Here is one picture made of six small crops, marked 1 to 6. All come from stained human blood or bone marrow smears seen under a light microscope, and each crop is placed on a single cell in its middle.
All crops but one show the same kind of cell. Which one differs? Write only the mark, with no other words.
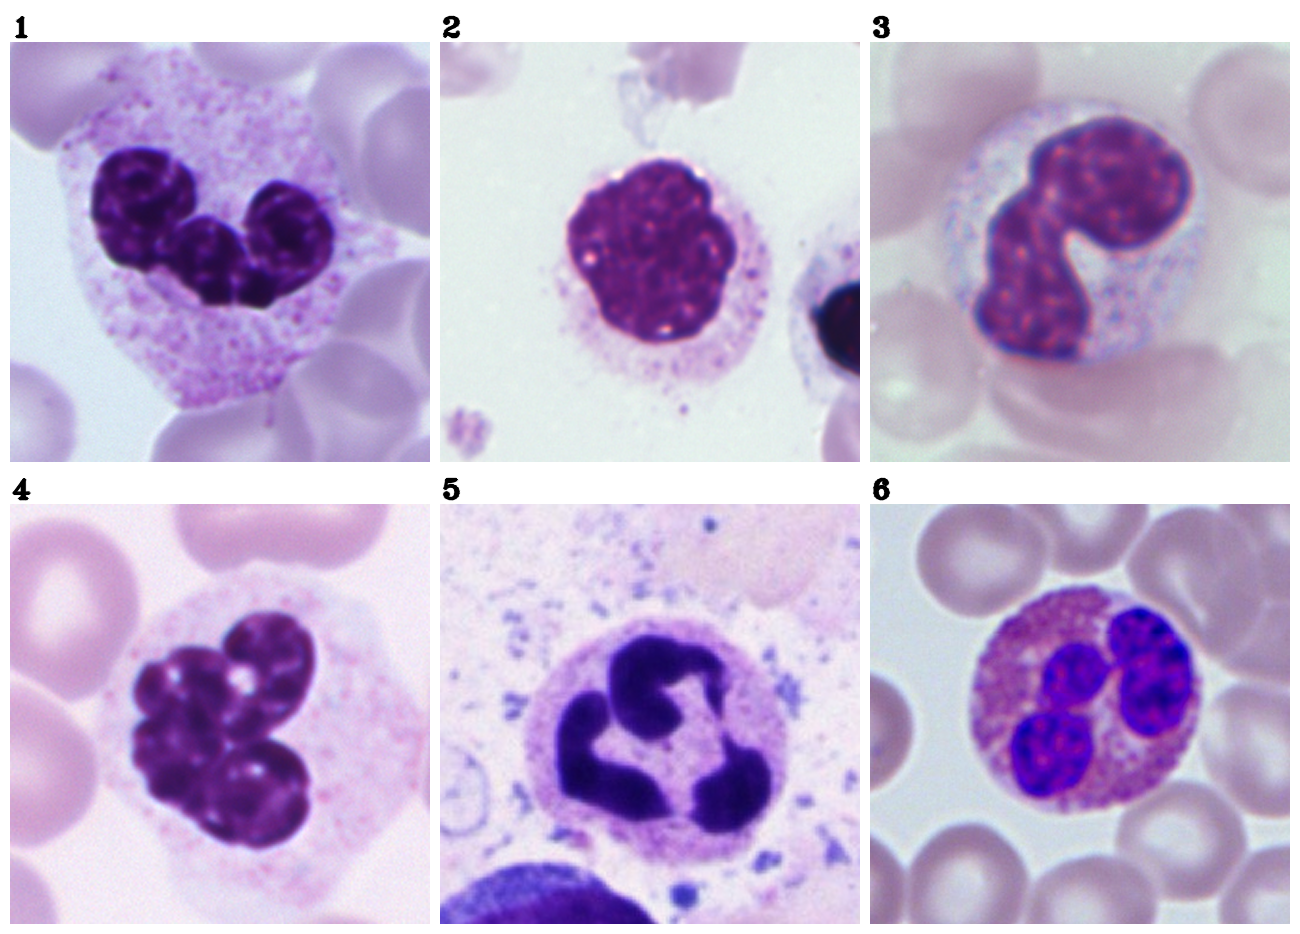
6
